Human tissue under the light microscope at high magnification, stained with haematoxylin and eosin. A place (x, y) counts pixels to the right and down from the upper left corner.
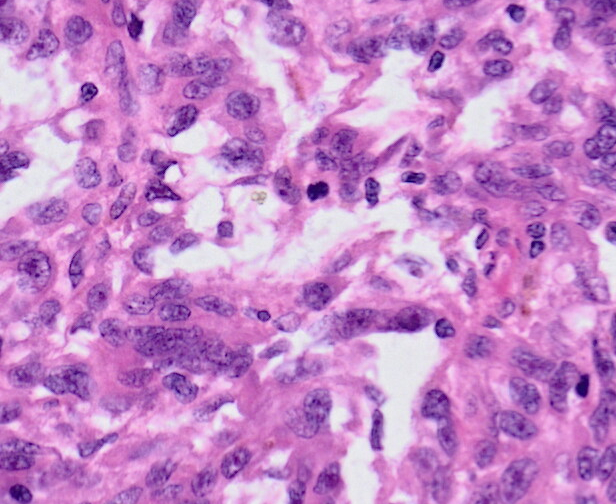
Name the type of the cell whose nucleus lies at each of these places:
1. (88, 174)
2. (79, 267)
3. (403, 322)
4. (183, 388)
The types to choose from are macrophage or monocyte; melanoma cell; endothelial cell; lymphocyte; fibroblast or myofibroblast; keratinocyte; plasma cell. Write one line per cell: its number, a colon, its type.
1: melanoma cell
2: macrophage or monocyte
3: melanoma cell
4: melanoma cell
